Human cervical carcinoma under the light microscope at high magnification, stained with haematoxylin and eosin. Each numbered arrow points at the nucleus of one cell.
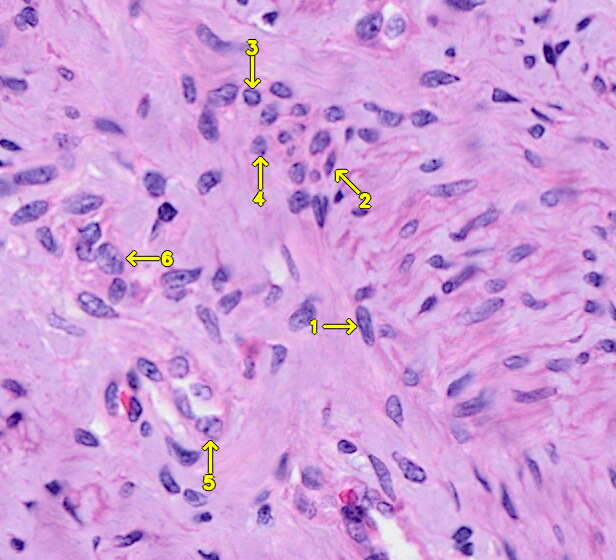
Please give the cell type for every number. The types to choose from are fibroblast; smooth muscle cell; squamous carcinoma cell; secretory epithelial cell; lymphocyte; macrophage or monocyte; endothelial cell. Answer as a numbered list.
1. smooth muscle cell
2. smooth muscle cell
3. smooth muscle cell
4. smooth muscle cell
5. endothelial cell
6. endothelial cell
